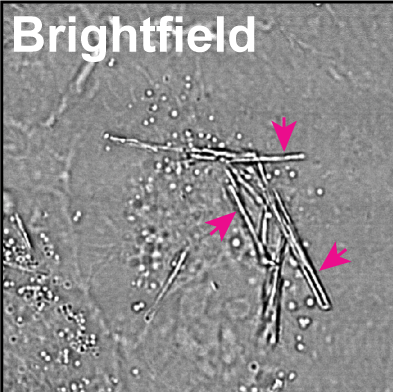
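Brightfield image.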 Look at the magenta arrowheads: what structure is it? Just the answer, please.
crystals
